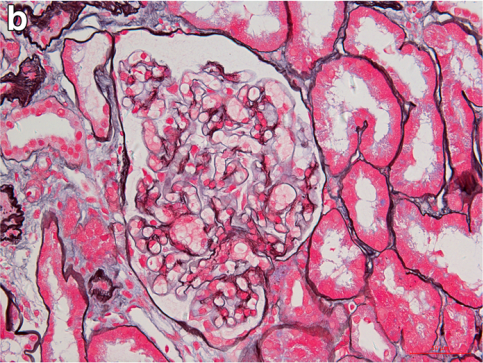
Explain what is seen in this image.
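A single glomerulus fills the centre, a rounded tuft of open capillary loops outlined by fine black-staining walls, lying in a pale capsular space within a thin black-outlined capsule. Among the loops lie pink cells and nuclei, somewhat crowded in some segments of the tuft. Around the glomerulus are cut tubules with tall pink cytoplasm, pale lumens and sharp black basement membranes. The interstitium between them is narrow with a few bluish fibres. This is renal cortex with a glomerulus showing slight segmental increase of mesangial cells.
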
